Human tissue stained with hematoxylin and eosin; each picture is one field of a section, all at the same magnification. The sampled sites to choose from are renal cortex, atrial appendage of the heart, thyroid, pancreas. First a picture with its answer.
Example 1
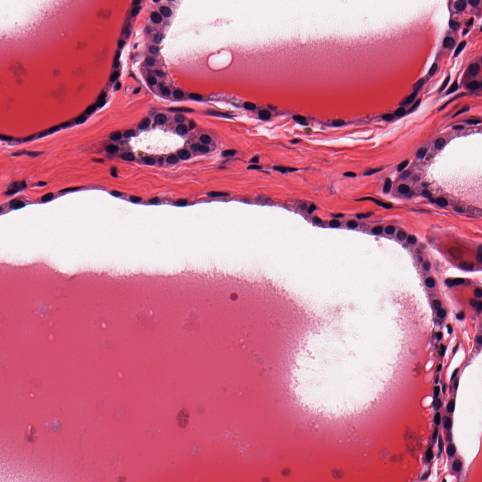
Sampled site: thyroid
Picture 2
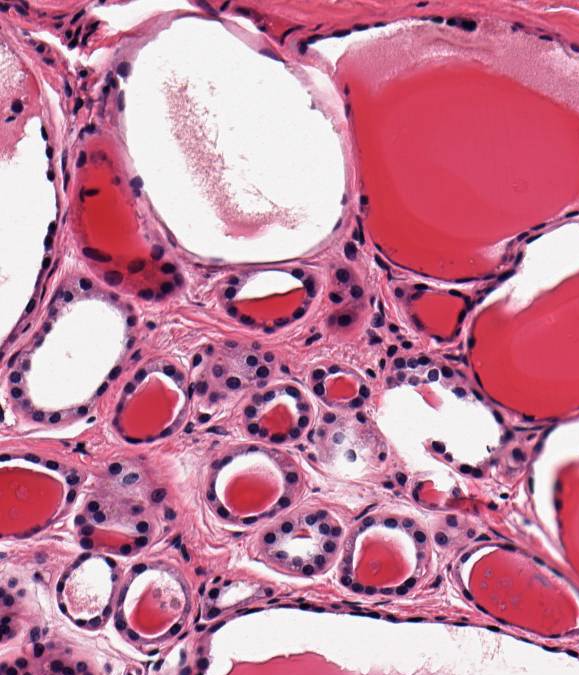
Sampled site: thyroid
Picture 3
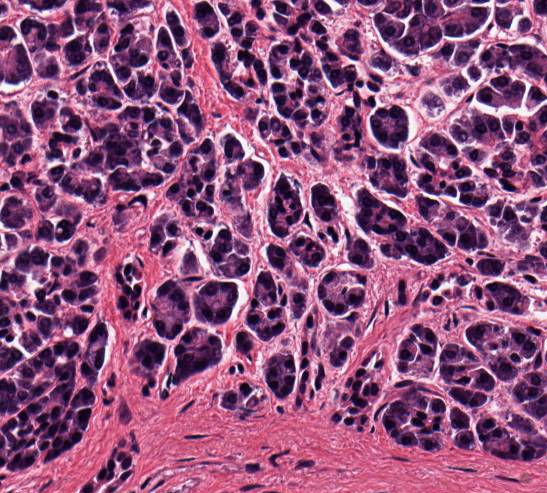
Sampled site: pancreas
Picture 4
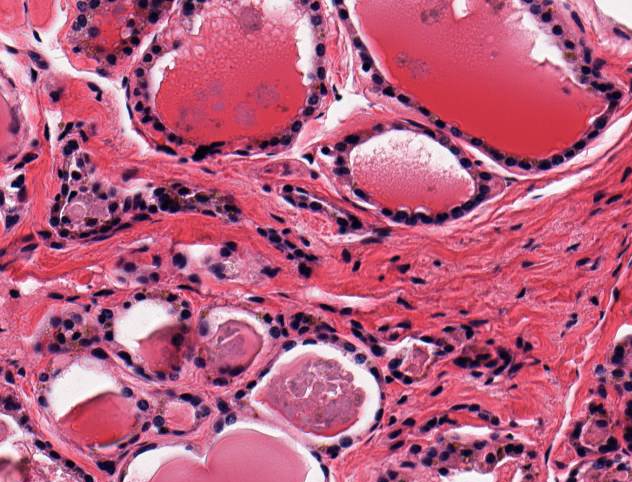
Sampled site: thyroid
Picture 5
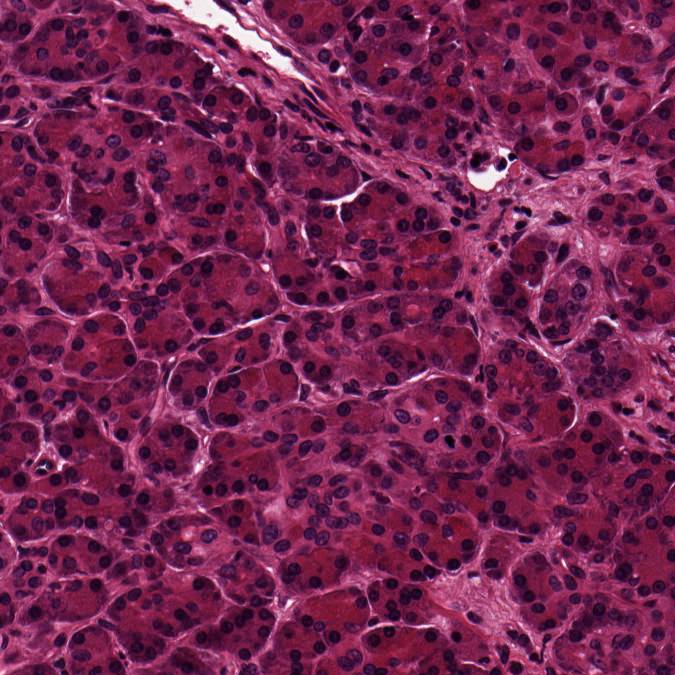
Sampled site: pancreas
